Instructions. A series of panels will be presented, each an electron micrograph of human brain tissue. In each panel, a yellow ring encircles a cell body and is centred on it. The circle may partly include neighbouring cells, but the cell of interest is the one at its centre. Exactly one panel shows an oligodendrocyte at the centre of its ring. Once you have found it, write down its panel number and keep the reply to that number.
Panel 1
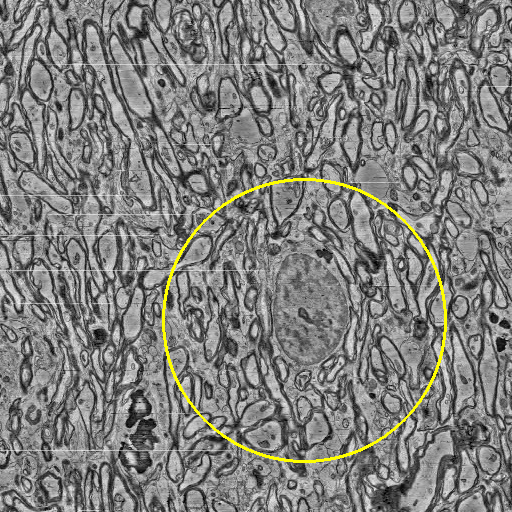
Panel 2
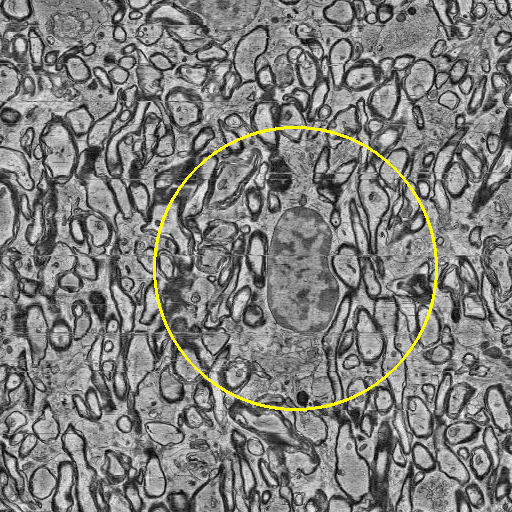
1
